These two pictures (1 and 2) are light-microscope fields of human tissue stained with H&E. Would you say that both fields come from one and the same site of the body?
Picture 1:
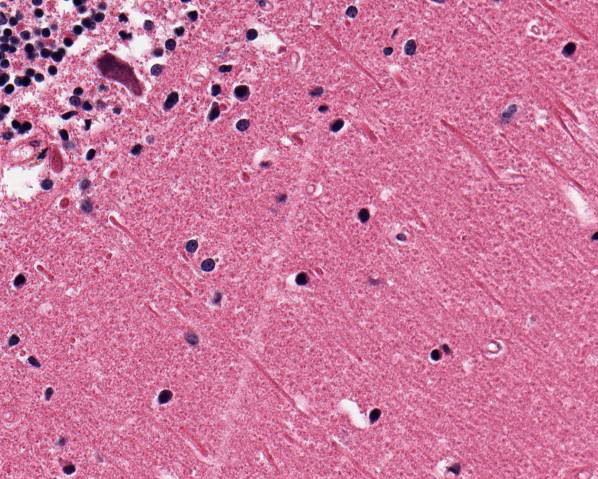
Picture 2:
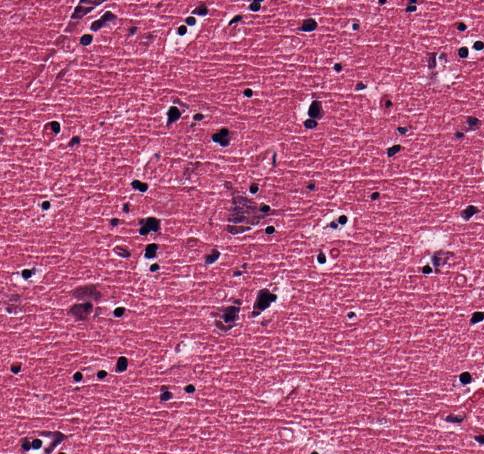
no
